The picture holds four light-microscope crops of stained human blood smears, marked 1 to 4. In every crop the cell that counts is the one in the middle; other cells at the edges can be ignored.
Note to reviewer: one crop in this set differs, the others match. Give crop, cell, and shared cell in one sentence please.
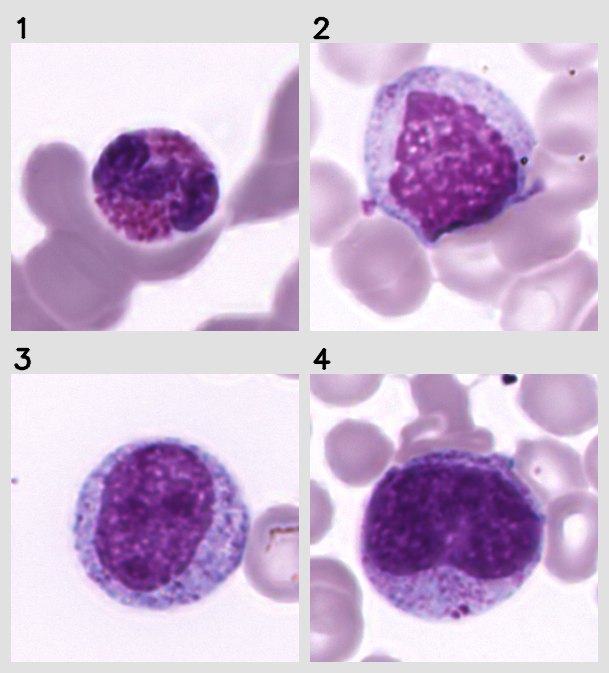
Unlike the other crops, all showing myelocytes, crop 1 is an eosinophil.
